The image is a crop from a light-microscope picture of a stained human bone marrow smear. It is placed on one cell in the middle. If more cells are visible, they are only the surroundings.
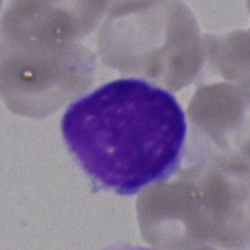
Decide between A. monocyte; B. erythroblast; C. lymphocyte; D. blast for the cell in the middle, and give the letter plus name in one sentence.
Option C is the keyed answer: the cell in the middle is a lymphocyte.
